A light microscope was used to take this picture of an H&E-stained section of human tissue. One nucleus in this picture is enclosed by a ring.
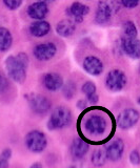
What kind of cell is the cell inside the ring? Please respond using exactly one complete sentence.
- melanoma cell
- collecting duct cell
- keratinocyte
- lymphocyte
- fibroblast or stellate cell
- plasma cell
Microscopically, the cell inside the ring is categorized as a plasma cell.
